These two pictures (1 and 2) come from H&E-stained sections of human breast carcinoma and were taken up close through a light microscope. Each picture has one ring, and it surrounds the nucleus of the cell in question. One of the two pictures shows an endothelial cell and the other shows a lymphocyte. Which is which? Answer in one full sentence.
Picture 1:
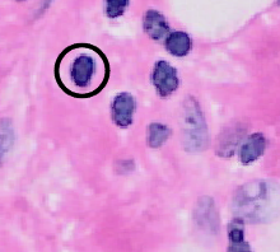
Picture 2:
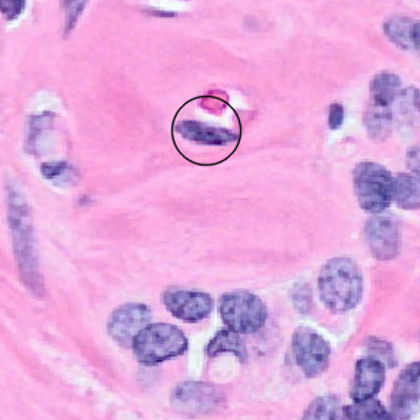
Picture 1 is of a lymphocyte, and picture 2 is of an endothelial cell.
